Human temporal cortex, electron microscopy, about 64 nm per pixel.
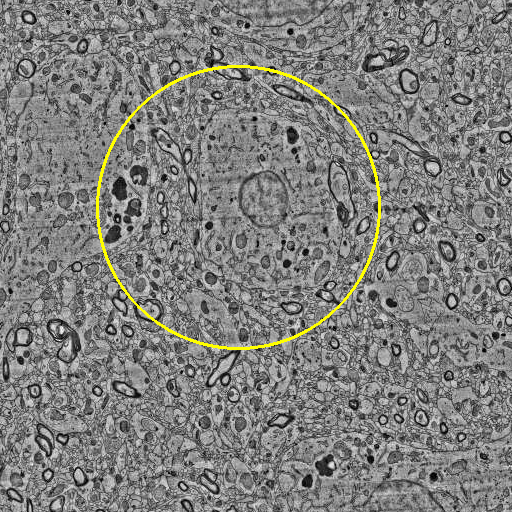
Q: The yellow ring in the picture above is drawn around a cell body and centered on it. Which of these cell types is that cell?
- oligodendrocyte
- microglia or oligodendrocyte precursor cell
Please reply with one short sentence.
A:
The cell body at the ring's center belongs to a microglial cell or oligodendrocyte precursor cell.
